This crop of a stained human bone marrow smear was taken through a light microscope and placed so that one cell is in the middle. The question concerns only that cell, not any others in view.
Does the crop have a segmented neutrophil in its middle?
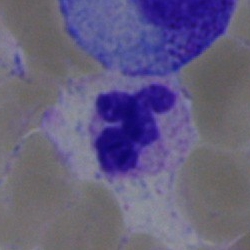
yes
